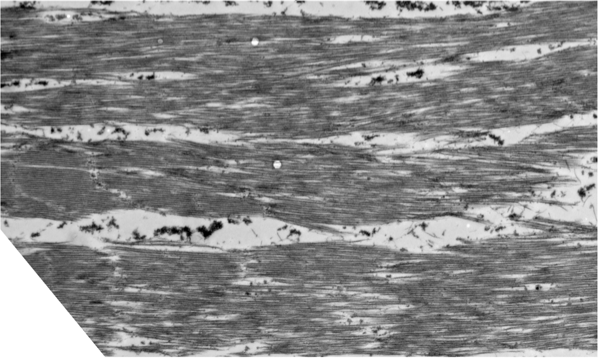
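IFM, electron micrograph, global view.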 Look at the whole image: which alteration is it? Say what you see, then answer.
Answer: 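Filaments run in loose, wavy, splayed bundles rather than straight parallel arrays. No regular repeating transverse bands are visible across the bundles. Bundles are of irregular width with pale gaps between them.
Fraying and misaligned thick and thin filaments.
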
